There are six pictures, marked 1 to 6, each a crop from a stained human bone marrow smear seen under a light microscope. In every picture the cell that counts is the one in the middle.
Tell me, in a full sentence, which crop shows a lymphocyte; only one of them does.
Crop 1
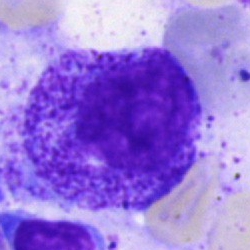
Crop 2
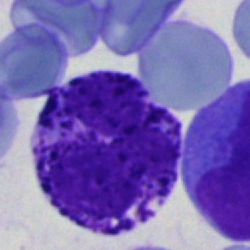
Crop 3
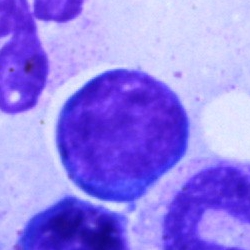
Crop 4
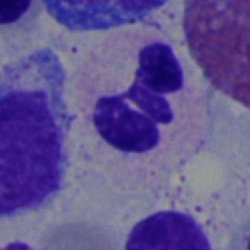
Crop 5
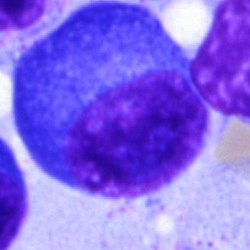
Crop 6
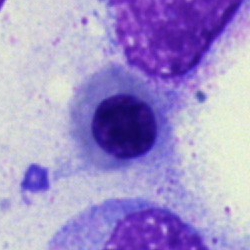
Of all the crops, crop 3 is the one showing a lymphocyte.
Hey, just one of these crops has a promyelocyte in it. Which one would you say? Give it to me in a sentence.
In this set, crop 1 is the one showing a promyelocyte.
